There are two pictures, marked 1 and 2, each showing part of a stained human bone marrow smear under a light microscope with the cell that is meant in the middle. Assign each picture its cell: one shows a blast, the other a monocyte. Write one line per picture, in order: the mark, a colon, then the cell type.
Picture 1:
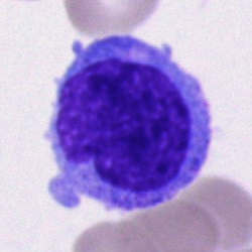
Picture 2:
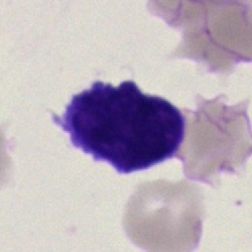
1: monocyte
2: blast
